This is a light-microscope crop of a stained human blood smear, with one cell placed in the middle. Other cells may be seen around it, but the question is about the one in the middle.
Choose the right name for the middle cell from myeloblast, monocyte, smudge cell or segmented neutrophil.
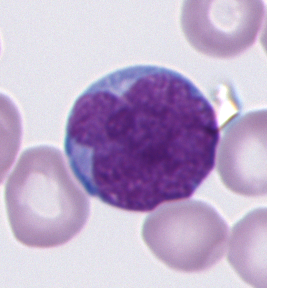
myeloblast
